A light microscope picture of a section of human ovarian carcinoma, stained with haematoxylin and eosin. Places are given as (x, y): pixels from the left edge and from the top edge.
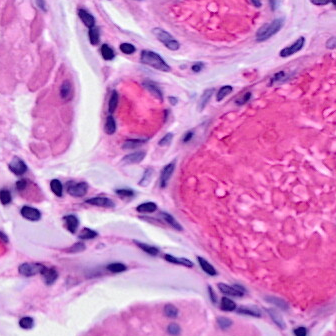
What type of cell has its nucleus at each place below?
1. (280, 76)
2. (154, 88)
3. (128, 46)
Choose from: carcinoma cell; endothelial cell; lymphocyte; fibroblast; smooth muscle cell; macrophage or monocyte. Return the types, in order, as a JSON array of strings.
["endothelial cell", "endothelial cell", "lymphocyte"]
